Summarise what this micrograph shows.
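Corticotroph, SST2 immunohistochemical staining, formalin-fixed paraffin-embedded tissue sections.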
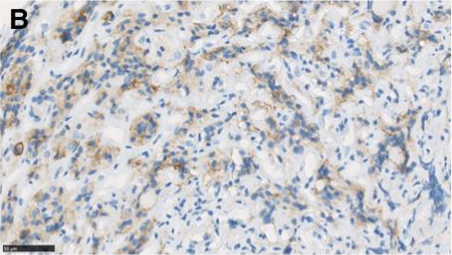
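Brown staining outlines many of the tumour cells along their borders and in their cytoplasm, in a patchy but widespread pattern across the field. The nuclei are oval to round, blue and fairly uniform in size. Between the stained cell groups lie paler areas with small spaces and elongated nuclei of the supporting stroma.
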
